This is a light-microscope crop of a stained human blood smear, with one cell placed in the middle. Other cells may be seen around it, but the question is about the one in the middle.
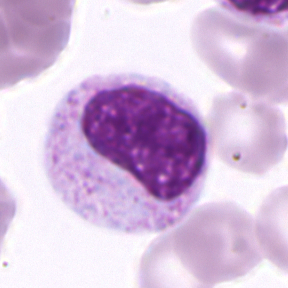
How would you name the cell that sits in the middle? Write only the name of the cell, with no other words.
metamyelocyte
